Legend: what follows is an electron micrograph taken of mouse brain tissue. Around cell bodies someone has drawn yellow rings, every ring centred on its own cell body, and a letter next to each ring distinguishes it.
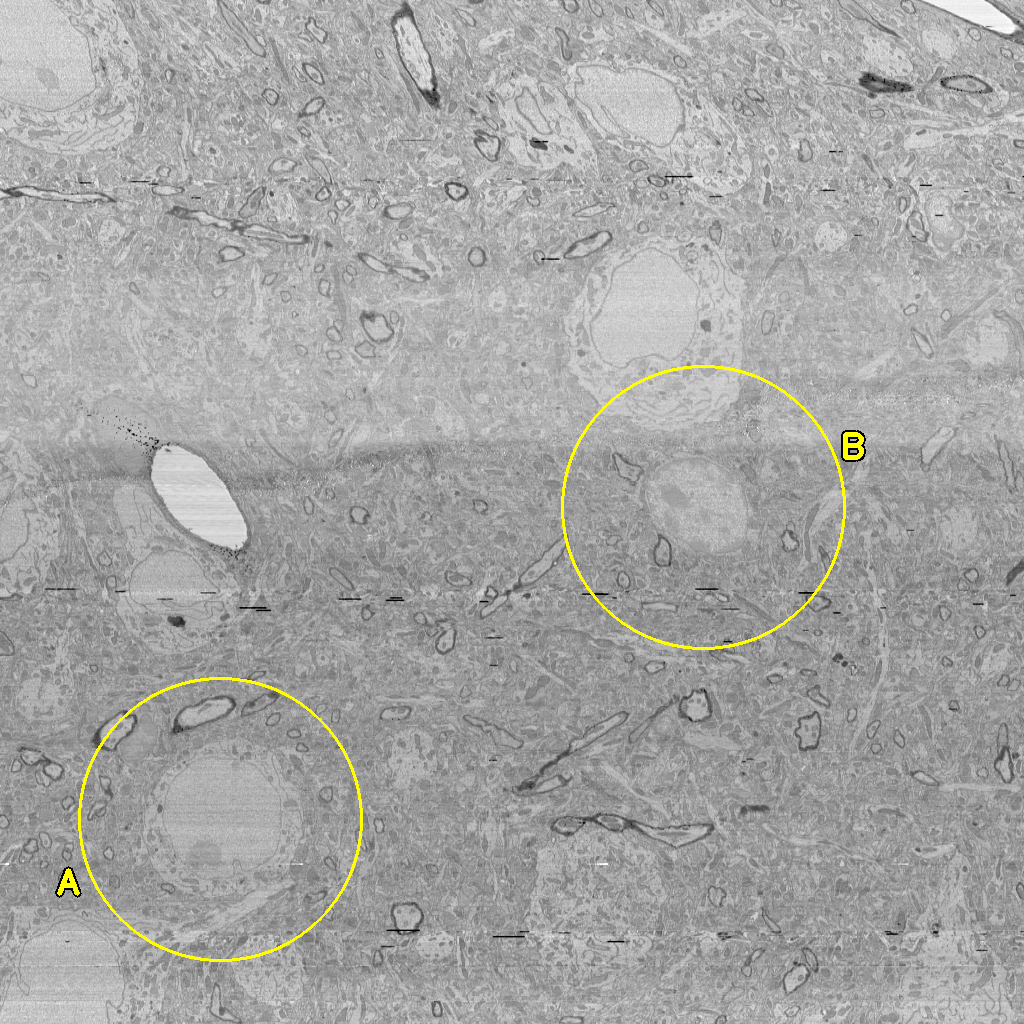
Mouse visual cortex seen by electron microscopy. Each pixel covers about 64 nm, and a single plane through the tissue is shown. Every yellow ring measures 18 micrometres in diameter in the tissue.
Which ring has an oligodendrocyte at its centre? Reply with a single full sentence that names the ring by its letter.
Ring B is the one centred on the cell asked for in the picture.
